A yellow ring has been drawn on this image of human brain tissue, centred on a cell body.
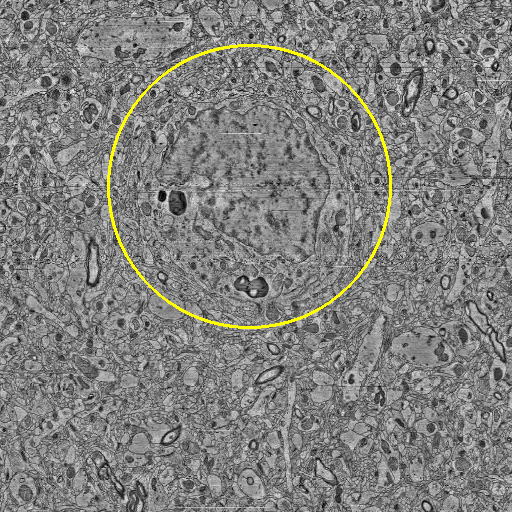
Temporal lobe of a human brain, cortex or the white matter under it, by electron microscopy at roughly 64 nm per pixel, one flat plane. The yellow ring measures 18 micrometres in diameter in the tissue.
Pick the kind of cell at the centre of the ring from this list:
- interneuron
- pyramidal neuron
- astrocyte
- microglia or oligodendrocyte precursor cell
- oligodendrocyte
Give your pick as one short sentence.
The centre of the ring holds an interneuron.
